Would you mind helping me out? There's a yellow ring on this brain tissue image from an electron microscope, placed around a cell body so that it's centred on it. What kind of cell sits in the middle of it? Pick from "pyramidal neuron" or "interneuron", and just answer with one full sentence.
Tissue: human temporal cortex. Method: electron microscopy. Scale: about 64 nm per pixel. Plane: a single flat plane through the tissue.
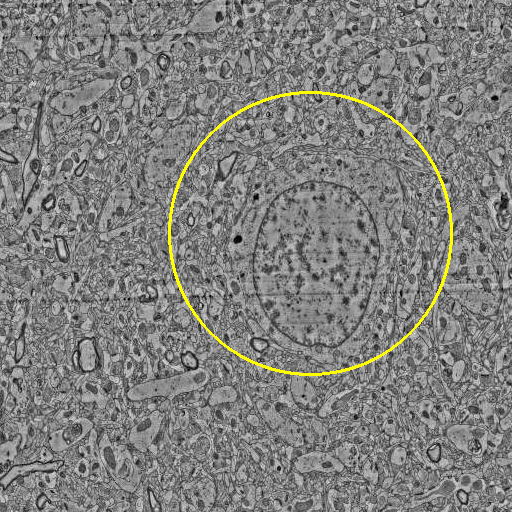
What sits in the middle of that yellow ring is a pyramidal neuron, from your choices.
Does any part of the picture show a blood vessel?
No, there is no blood vessel in the image.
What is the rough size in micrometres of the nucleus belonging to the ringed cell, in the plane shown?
In this plane, about 11 micrometres in length and 8 in width.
